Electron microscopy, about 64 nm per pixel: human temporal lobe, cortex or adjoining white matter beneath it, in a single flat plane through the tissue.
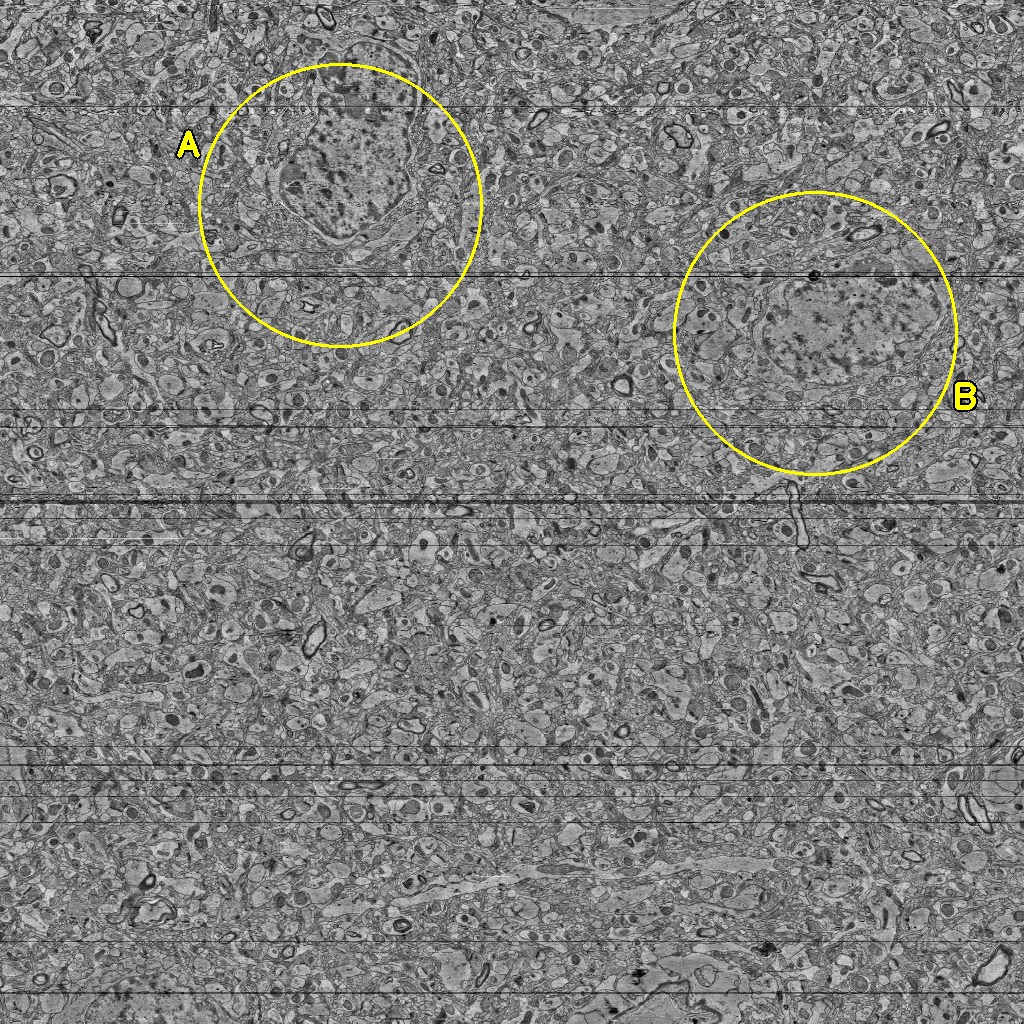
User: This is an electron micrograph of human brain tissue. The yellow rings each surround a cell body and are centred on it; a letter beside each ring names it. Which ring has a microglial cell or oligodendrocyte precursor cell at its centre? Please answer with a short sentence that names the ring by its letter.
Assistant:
Ring A has it at its centre.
